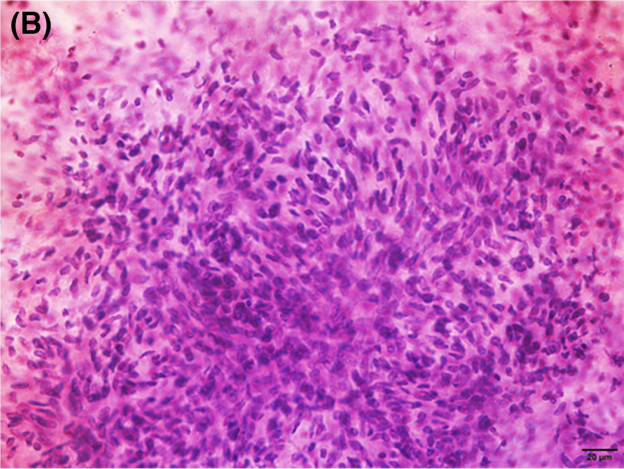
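A densely cellular aggregate of spindle cells fills most of the field. The cells have elongated, oval to tapered nuclei stained dark purple, with scant, poorly defined pale cytoplasm. They are tightly crowded and overlapping, arranged in streaming, somewhat swirling groups, most packed toward the centre and lower part of the field. Toward the edges, particularly the upper left and right, the cells thin out into a pink background matrix in which scattered spindle nuclei remain visible. No fat spaces or clearly separate rounded cells are seen; the picture is dominated by uniform-looking elongated nuclei.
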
